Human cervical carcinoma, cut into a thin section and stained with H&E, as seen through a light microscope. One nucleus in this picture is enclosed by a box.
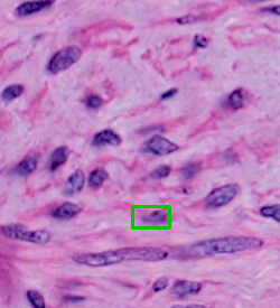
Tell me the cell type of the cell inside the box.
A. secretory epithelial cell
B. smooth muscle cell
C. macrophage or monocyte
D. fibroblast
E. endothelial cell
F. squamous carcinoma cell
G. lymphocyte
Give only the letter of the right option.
B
